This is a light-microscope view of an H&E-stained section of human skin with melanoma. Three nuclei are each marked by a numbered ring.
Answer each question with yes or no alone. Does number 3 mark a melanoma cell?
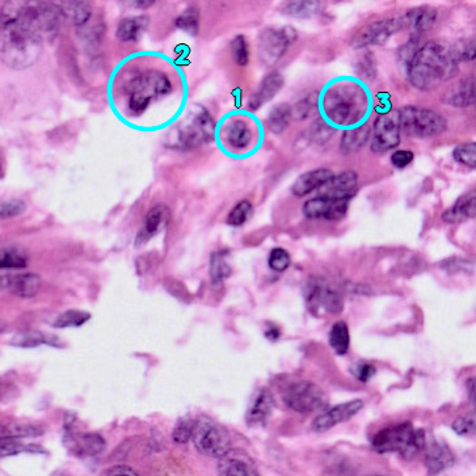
yes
